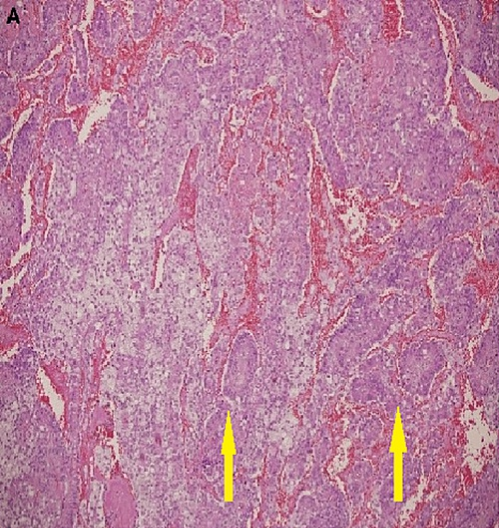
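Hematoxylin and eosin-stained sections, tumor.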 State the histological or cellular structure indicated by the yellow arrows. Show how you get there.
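Tumor cells are gathered around blood-filled vessels. Between the vessel-centred cuffs the tissue is loose and falling apart.
Answer: pseudopapillary architecture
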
